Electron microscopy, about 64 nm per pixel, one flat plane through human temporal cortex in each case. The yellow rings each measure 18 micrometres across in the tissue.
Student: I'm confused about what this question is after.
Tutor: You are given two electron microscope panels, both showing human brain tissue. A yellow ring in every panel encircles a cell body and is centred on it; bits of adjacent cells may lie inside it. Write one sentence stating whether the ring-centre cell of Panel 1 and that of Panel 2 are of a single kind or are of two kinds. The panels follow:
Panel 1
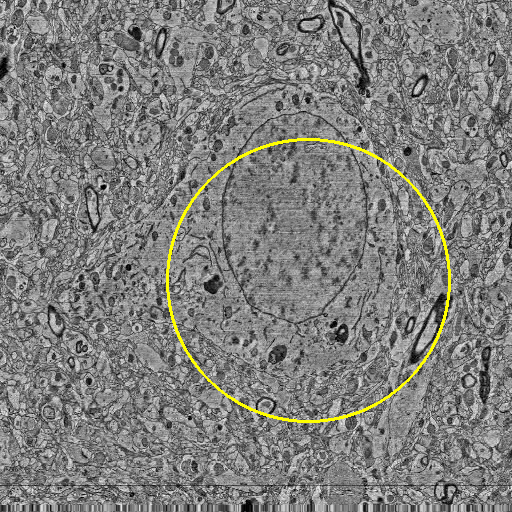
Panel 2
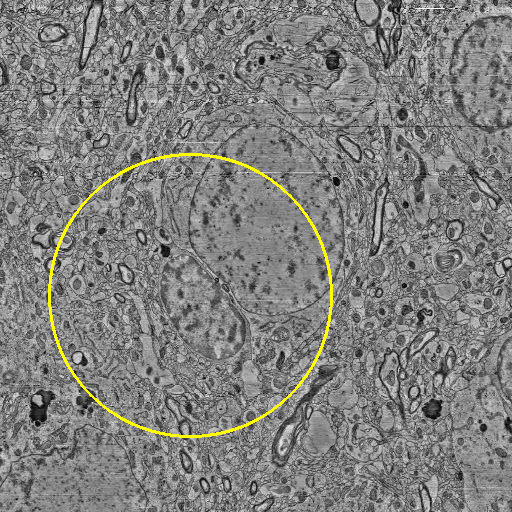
Here, the Panel 1 ring-centre cell and the Panel 2 ring-centre cell are of two kinds.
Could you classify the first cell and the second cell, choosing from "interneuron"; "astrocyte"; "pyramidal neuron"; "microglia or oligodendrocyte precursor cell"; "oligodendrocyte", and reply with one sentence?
The second cell is an oligodendrocyte, while the first is a pyramidal neuron.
